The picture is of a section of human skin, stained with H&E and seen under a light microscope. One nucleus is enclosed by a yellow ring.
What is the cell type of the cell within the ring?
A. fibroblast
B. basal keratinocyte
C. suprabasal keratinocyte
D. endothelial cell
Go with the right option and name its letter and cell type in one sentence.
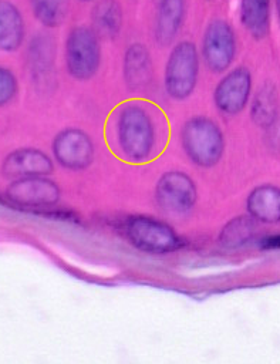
Identified correctly by option C, the cell within the ring is a suprabasal keratinocyte.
